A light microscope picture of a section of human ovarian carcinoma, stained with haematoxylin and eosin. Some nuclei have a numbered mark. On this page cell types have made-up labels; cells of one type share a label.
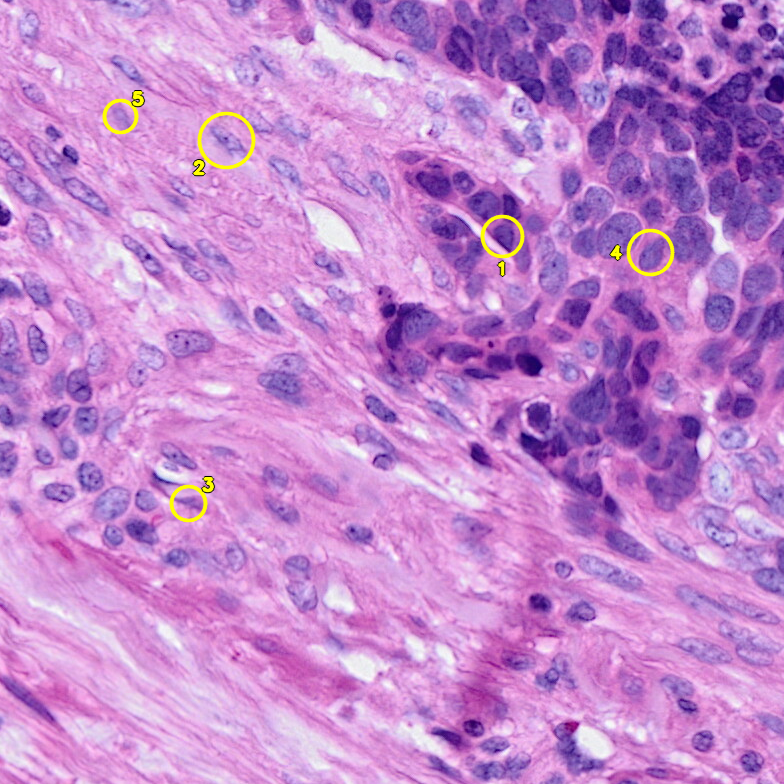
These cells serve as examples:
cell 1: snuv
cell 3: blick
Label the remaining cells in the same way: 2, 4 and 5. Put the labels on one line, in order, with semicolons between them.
blick; snuv; blick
